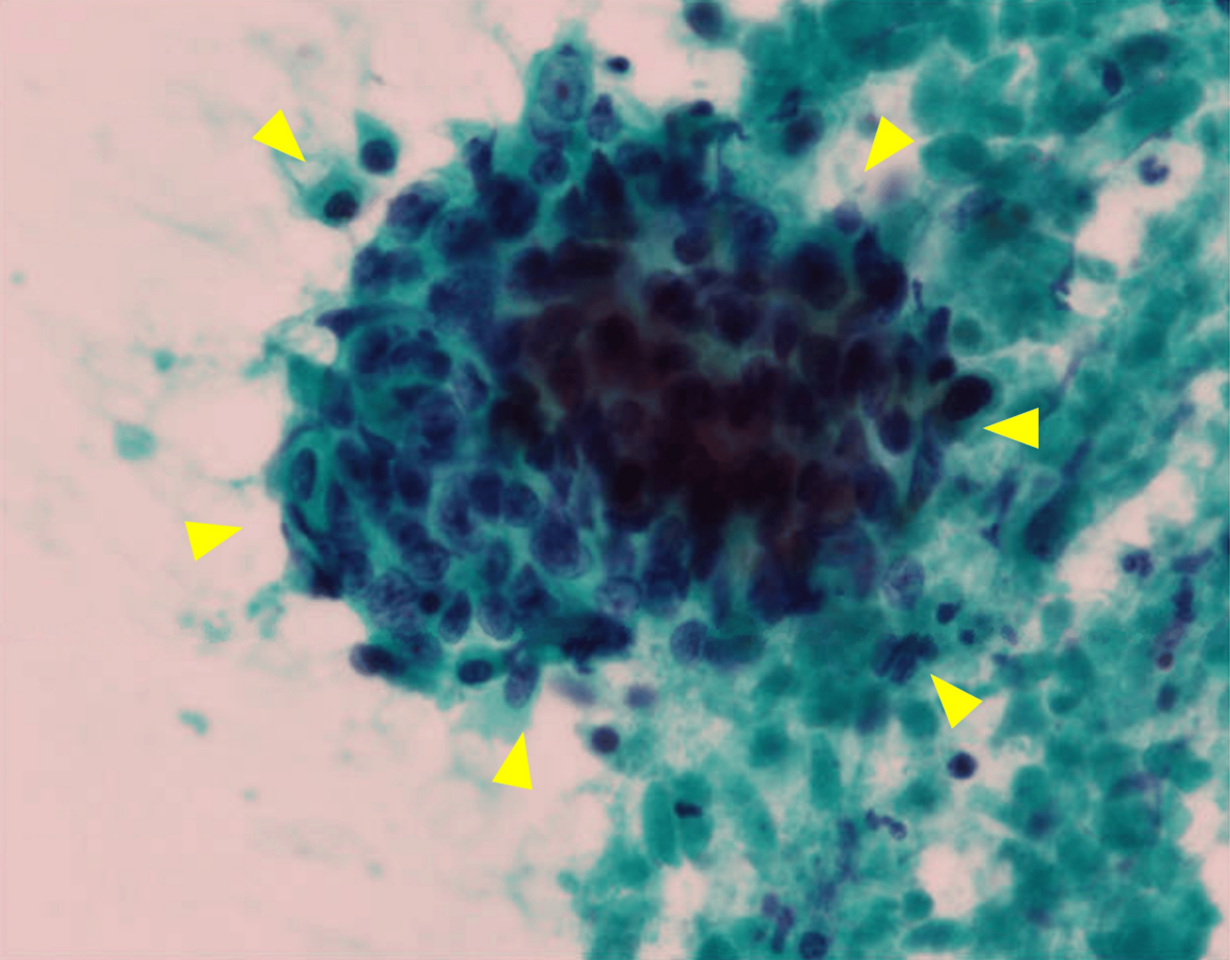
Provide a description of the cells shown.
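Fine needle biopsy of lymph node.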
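The cells in the cluster vary in shape, from round and oval to elongated, and are crowded and overlapping. Their nuclei are enlarged, dark blue to nearly black and hyperchromatic, and they take up most of each cell, so the nuclear-to-cytoplasm ratio is high. The centre of the cluster is densely packed and darker. The cytoplasm is dense and blue-green. A few separate cells with dense green cytoplasm and dark nuclei lie at the edge of the cluster.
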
